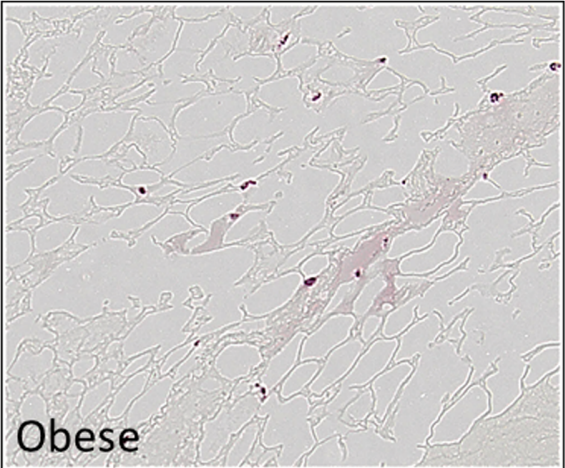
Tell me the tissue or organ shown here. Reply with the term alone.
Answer: Adipose tissue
